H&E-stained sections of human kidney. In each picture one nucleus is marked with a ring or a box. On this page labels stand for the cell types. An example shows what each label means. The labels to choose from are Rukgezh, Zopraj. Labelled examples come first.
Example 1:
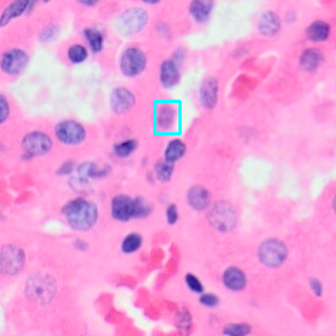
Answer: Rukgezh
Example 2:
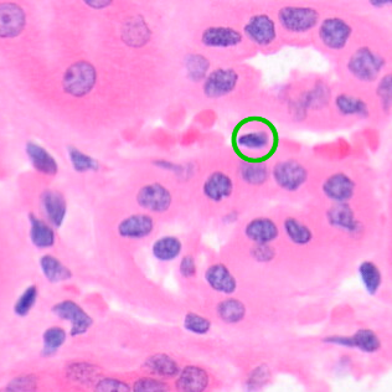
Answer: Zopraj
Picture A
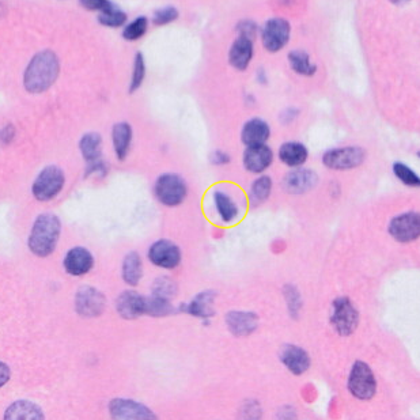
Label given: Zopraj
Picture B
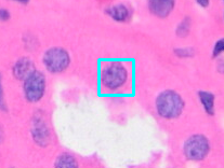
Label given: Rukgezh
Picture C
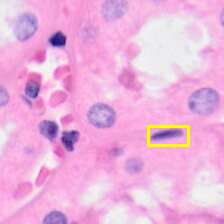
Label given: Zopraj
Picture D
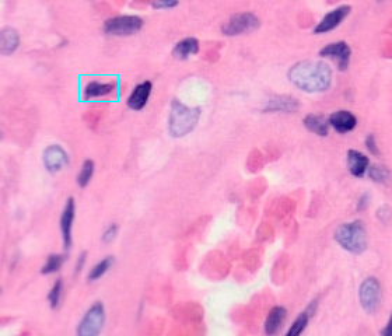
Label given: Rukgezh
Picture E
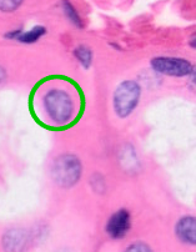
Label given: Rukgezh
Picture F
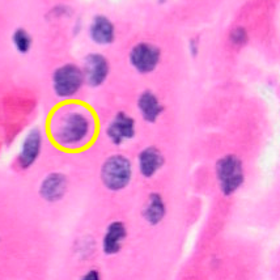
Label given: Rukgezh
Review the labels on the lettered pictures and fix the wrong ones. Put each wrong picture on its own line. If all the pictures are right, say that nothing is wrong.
D should be Zopraj, not Rukgezh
